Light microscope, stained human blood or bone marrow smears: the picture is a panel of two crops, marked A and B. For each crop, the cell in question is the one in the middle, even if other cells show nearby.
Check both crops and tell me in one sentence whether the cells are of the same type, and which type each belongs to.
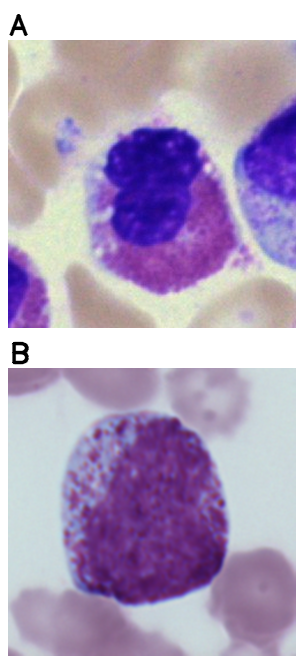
No, record crop A as an eosinophil and crop B as a myelocyte.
